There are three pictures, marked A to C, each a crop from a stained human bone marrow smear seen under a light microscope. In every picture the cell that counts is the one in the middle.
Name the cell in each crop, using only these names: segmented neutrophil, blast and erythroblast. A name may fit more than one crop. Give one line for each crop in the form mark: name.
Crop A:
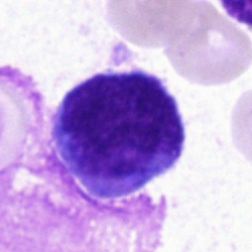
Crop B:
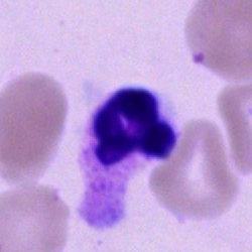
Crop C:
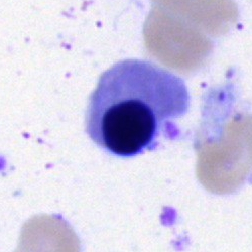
A: blast
B: segmented neutrophil
C: erythroblast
